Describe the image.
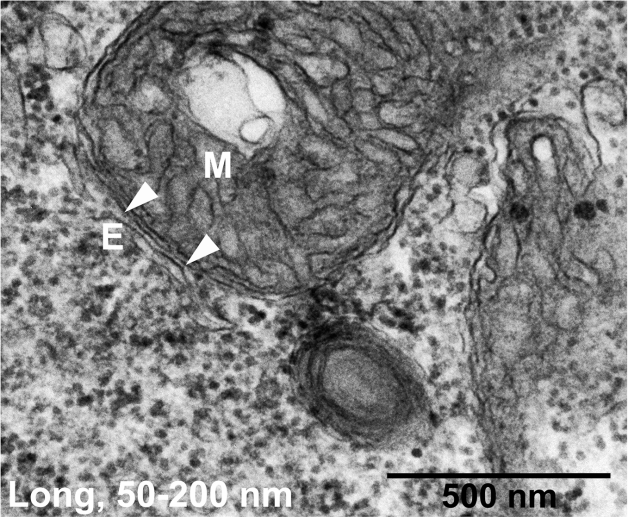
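The mitochondrion is bounded by a double membrane and filled with densely packed, irregular cristae, with a pale, electron-lucent space in its upper part. A flattened cisterna of endoplasmic reticulum runs closely parallel to the lower left edge of the mitochondrion's outer membrane. The surrounding cytoplasm is crowded with small dark granules resembling ribosomes, and below the mitochondrion lies a small body made of concentric membrane layers.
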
